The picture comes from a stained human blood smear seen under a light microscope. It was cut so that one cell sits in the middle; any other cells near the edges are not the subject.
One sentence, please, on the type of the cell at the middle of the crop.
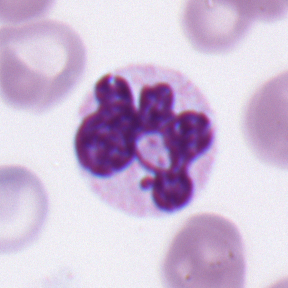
Framed in the middle of the crop is a segmented neutrophil.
